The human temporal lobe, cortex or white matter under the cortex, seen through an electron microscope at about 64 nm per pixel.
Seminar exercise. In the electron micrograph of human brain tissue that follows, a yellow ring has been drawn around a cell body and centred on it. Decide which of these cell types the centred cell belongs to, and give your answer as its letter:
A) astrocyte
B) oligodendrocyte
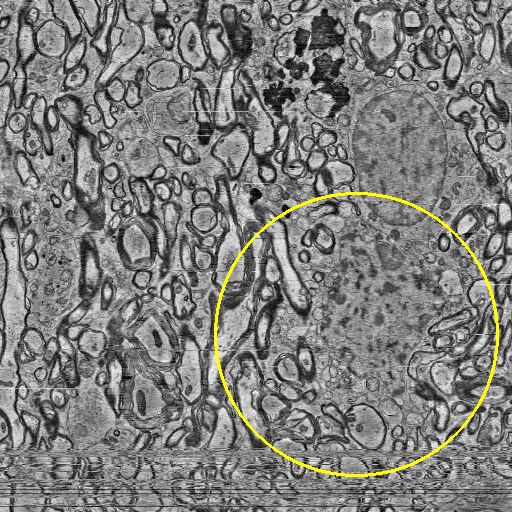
A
